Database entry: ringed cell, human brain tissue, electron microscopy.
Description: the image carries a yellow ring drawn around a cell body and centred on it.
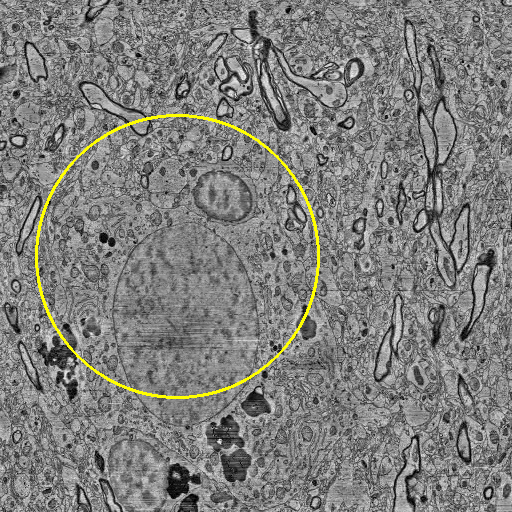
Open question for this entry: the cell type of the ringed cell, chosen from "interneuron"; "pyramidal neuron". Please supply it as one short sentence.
The ringed cell is an interneuron.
